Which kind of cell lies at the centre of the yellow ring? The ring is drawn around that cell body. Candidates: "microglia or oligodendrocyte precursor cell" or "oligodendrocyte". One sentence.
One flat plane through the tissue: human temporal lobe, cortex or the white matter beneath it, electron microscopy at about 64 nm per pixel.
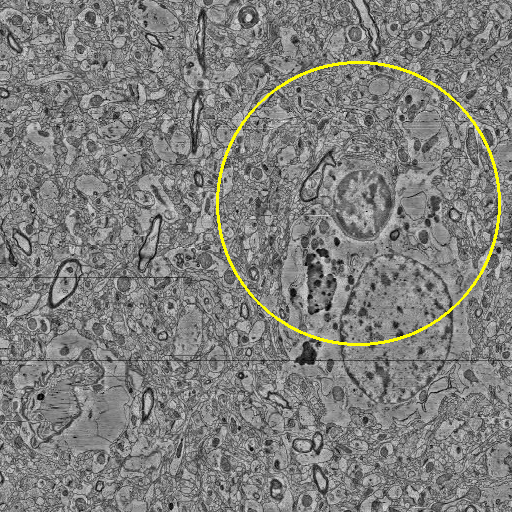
Lying at the centre of the ring is an oligodendrocyte.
